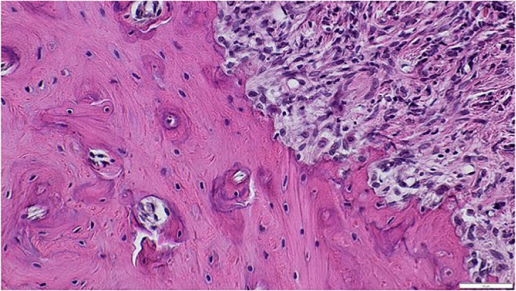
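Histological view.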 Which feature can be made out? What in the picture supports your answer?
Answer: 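The pink bone surface bordering the cellular tissue is irregular and scalloped. Cellular connective tissue fills the bays cut into the bone. The answer: Resorption lacunae.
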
